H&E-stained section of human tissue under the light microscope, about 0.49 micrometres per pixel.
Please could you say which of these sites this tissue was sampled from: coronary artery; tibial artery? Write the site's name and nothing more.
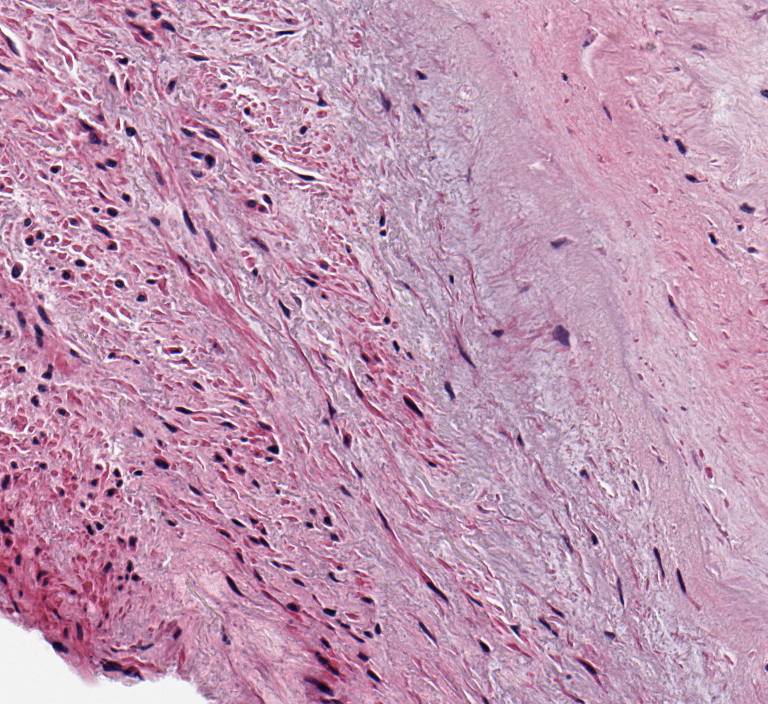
coronary artery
